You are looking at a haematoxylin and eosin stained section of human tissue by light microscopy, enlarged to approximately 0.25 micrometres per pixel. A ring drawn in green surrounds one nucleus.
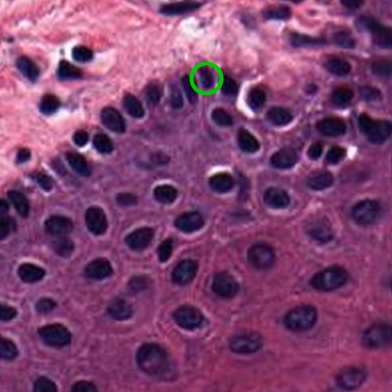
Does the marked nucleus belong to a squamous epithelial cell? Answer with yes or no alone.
yes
